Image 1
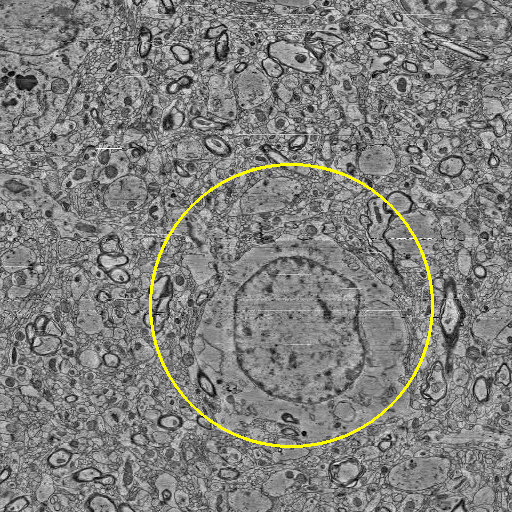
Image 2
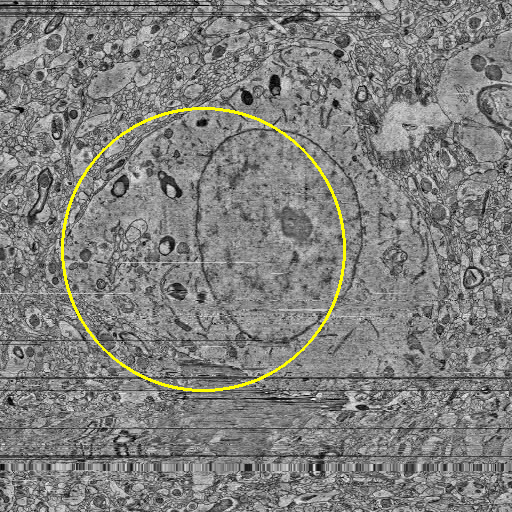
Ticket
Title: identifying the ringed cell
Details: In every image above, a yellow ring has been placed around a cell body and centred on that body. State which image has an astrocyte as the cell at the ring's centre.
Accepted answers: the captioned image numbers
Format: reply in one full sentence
The ring in image 1 is centred on the cell in question.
